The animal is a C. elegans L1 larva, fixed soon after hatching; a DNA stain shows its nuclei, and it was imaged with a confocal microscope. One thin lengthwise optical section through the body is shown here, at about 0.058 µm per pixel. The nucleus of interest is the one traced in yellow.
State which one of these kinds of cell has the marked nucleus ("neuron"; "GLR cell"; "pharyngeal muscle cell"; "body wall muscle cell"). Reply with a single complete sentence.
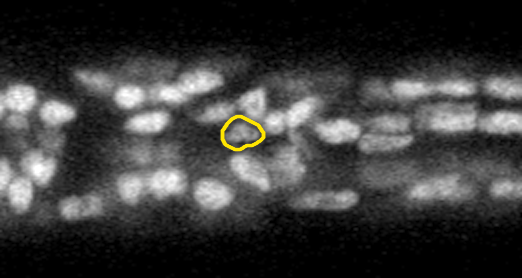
The nucleus comes from a pharyngeal muscle cell.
